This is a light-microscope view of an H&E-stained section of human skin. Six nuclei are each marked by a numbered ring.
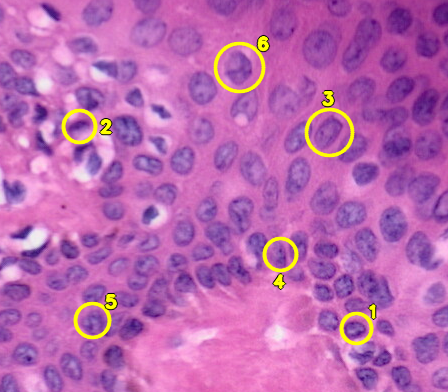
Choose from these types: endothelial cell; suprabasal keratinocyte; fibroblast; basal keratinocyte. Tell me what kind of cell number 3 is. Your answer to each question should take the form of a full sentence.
The marked cell with the number 3 is recognised as a suprabasal keratinocyte.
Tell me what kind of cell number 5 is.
Cell 5 in the field is a basal keratinocyte.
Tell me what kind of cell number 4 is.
The numeral 4 marks a basal keratinocyte in this section.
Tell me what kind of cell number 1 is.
The cell marked with the number 1 is a basal keratinocyte.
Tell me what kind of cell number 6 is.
The numeral 6 marks a suprabasal keratinocyte in this section.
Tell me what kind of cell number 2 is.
The marked cell bearing number 2 is a basal keratinocyte.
